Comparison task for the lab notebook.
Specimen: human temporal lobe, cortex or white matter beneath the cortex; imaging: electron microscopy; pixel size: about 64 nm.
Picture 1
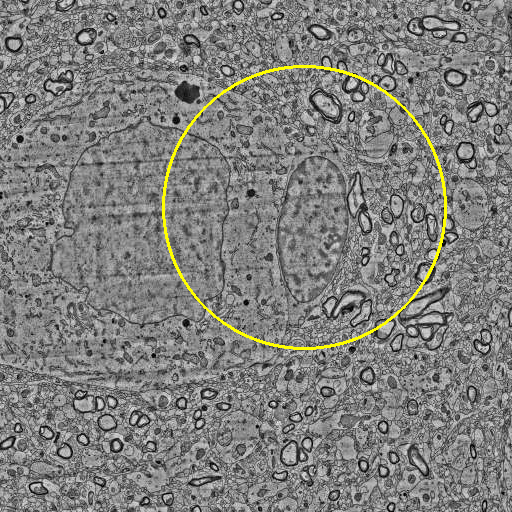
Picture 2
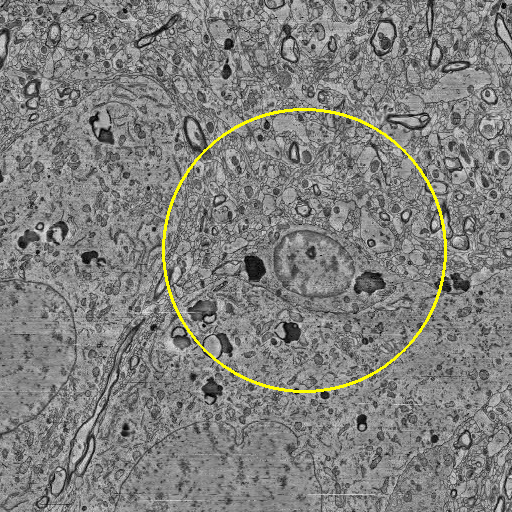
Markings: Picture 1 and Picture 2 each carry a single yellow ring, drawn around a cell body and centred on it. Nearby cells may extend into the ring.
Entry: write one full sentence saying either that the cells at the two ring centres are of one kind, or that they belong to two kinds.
The cells sitting at the ring centres in Picture 1 and Picture 2 are of one kind.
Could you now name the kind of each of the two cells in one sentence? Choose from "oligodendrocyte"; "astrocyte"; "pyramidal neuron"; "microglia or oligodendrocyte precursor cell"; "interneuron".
Each one of the two ringed cells is an oligodendrocyte.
